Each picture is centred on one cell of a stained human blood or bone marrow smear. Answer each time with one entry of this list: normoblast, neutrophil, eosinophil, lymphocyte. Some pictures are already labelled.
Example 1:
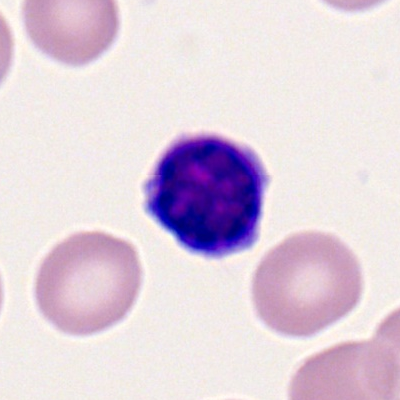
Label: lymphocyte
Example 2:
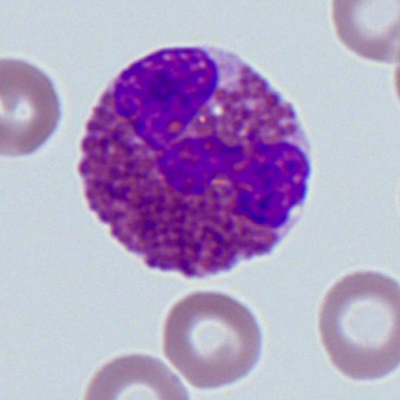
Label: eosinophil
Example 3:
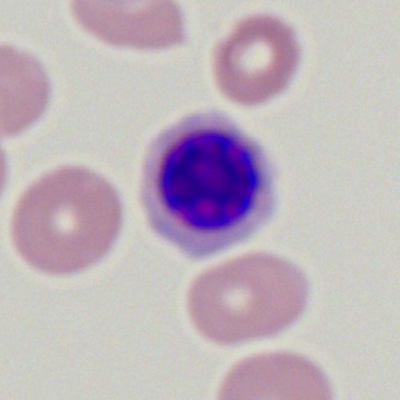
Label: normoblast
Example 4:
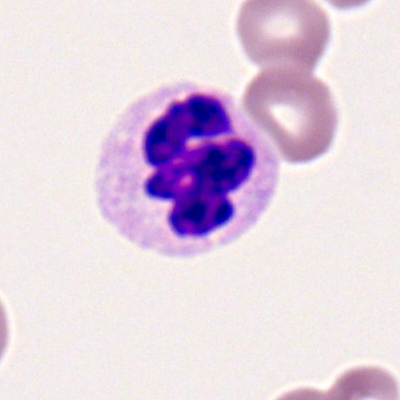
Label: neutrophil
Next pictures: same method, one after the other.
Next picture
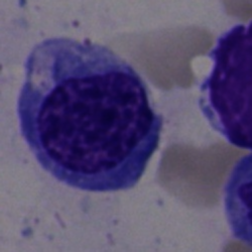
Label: normoblast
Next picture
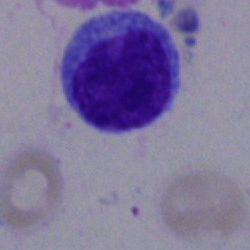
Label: lymphocyte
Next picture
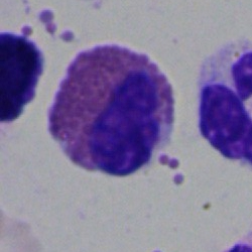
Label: eosinophil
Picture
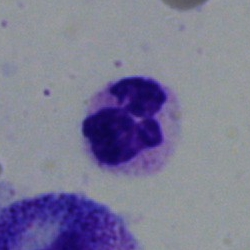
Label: neutrophil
